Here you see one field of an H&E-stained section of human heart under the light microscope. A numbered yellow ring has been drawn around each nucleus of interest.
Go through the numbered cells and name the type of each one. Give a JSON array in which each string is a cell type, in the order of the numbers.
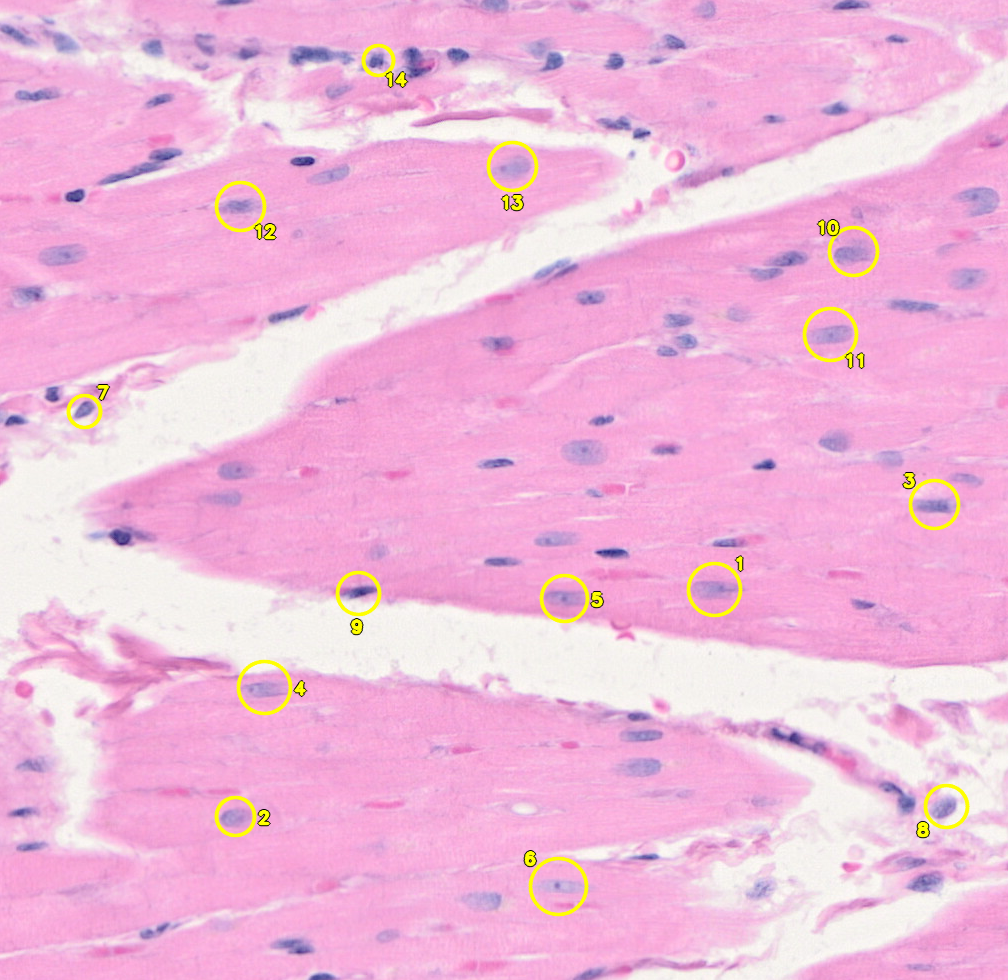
["cardiomyocyte", "cardiomyocyte", "endothelial cell", "cardiomyocyte", "cardiomyocyte", "cardiomyocyte", "fibroblast", "fibroblast", "endothelial cell", "cardiomyocyte", "cardiomyocyte", "endothelial cell", "cardiomyocyte", "fibroblast"]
